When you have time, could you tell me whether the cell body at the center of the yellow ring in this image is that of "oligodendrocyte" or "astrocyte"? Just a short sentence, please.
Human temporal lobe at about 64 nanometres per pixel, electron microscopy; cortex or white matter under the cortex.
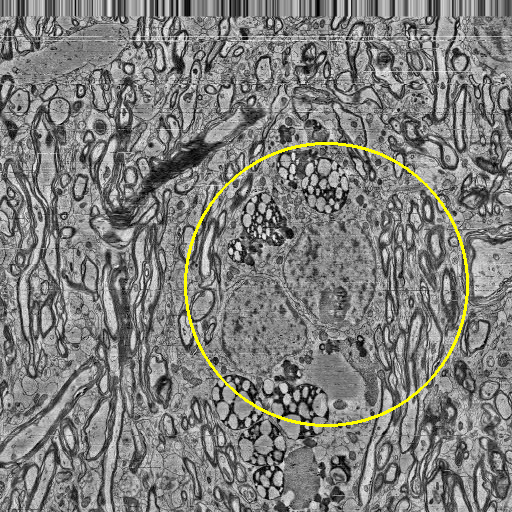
The cell body at the center of the ring is that of an astrocyte.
